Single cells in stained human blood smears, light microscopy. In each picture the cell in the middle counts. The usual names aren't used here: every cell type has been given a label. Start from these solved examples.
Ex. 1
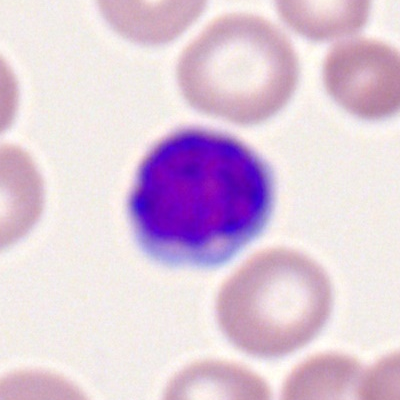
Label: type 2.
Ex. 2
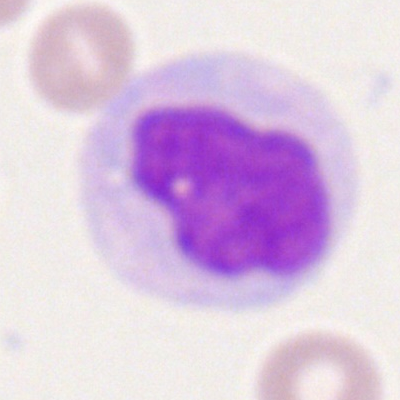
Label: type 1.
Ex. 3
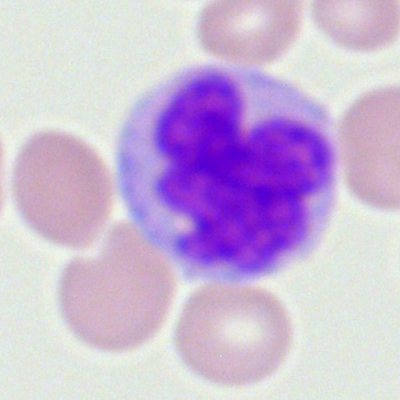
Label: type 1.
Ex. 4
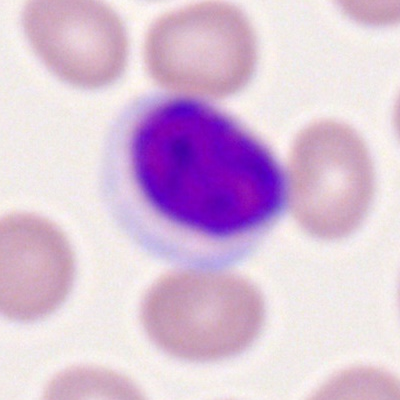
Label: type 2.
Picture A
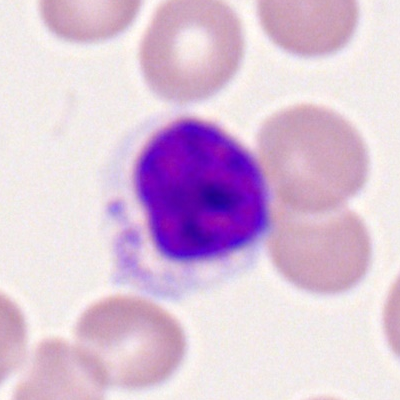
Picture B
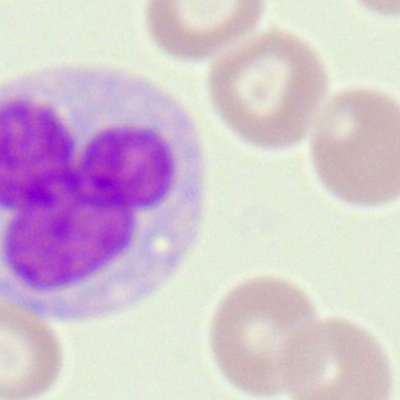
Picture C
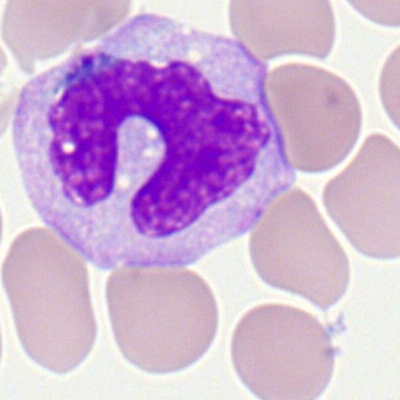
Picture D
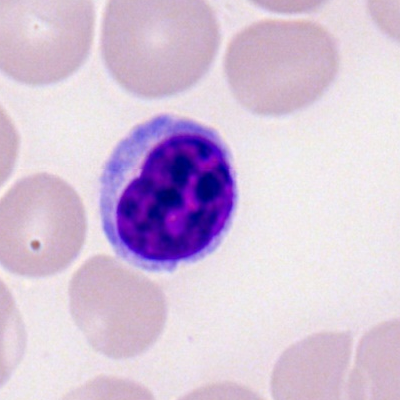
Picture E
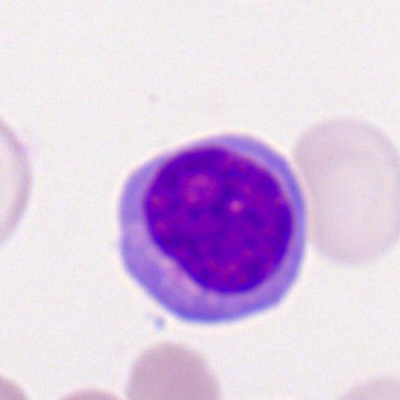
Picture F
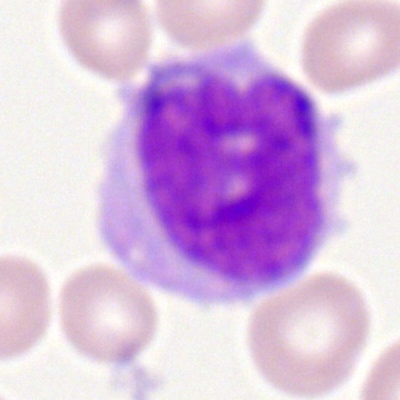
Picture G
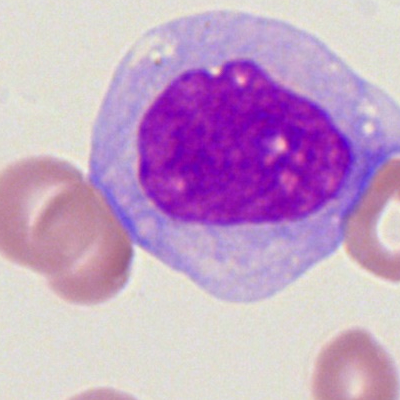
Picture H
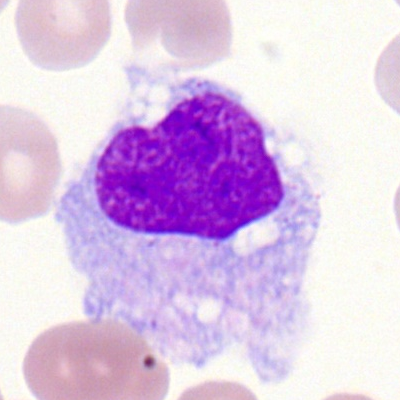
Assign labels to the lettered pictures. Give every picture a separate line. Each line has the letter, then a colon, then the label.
A: type 2.
B: type 1.
C: type 1.
D: type 2.
E: type 2.
F: type 1.
G: type 1.
H: type 1.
